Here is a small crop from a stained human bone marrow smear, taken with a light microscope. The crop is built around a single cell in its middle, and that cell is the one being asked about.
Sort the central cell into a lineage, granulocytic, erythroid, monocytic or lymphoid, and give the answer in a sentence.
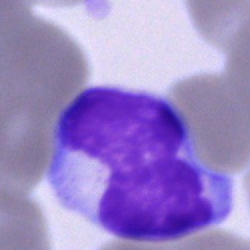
Originating in the lymphoid lineage is the cell at the center of the crop.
